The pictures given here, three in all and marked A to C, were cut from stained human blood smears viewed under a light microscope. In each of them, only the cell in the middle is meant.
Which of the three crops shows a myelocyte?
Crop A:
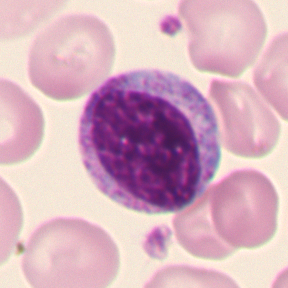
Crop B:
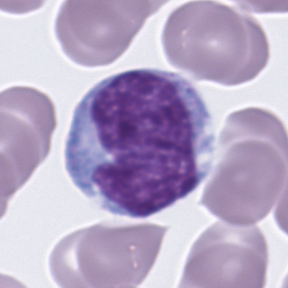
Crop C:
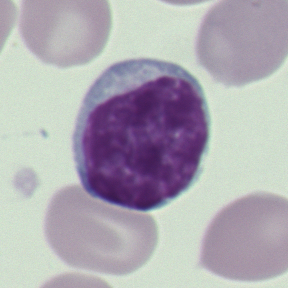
A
